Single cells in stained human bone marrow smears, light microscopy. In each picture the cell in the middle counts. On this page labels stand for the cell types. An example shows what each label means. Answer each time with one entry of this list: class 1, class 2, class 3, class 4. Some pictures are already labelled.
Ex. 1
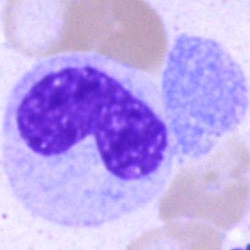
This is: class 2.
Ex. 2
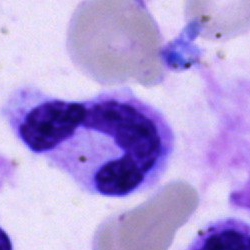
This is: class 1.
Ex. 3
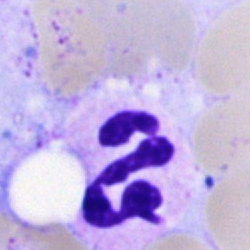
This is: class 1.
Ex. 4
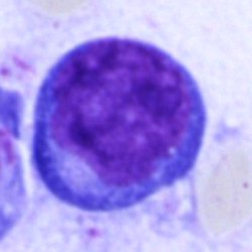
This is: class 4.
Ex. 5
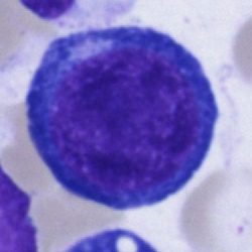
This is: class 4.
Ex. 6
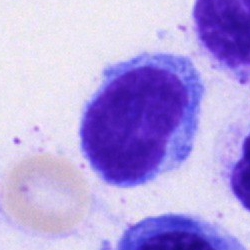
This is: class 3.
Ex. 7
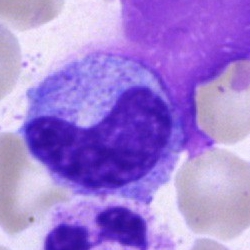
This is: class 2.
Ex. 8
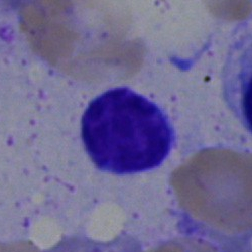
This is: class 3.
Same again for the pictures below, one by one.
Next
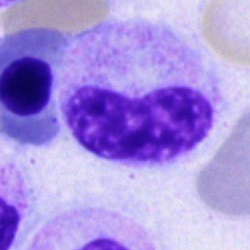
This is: class 2.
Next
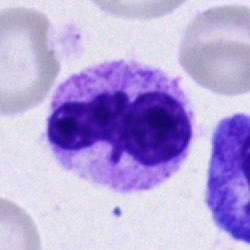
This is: class 1.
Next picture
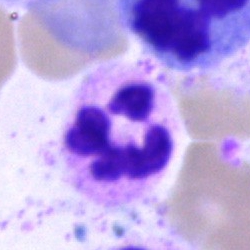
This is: class 1.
